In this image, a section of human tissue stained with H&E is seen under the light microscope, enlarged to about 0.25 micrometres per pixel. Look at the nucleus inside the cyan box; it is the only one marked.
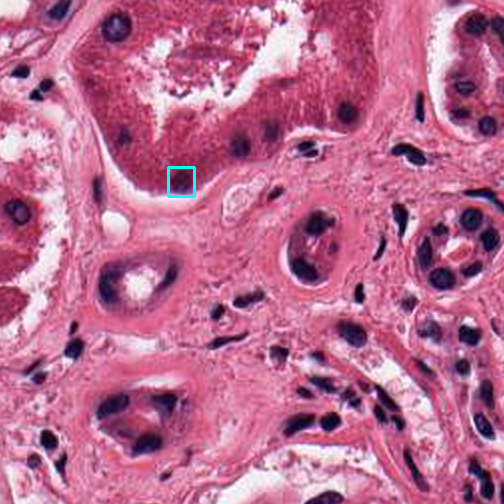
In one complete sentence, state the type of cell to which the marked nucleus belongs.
The marked nucleus is located in a proximal tubule cell.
